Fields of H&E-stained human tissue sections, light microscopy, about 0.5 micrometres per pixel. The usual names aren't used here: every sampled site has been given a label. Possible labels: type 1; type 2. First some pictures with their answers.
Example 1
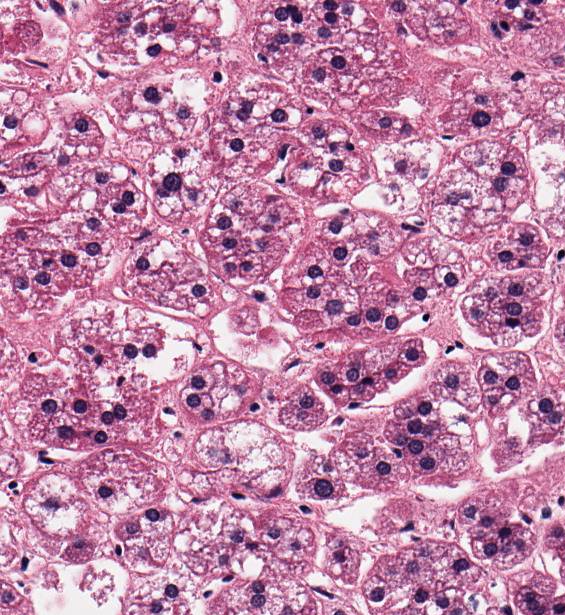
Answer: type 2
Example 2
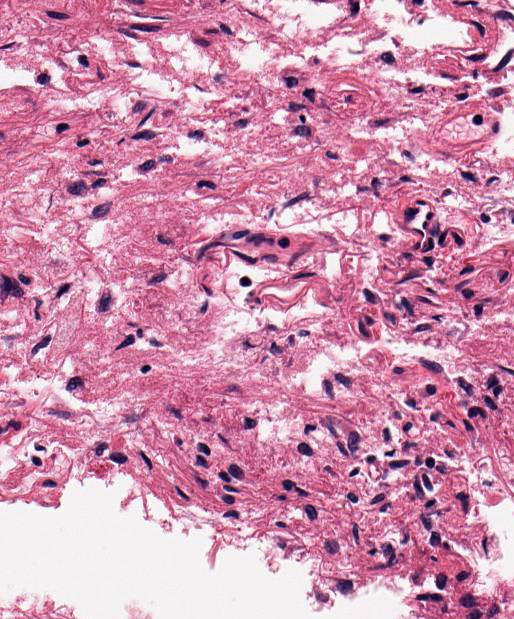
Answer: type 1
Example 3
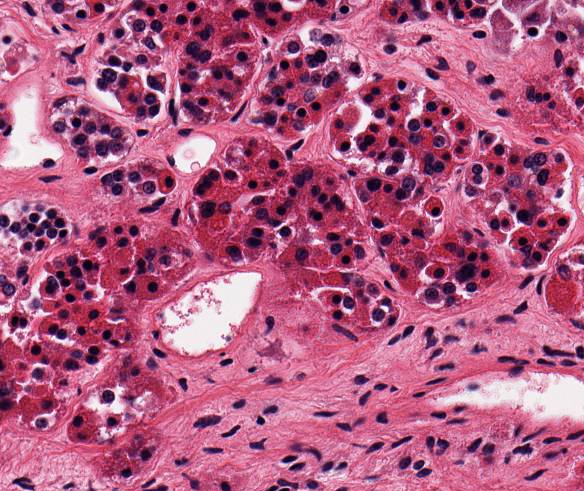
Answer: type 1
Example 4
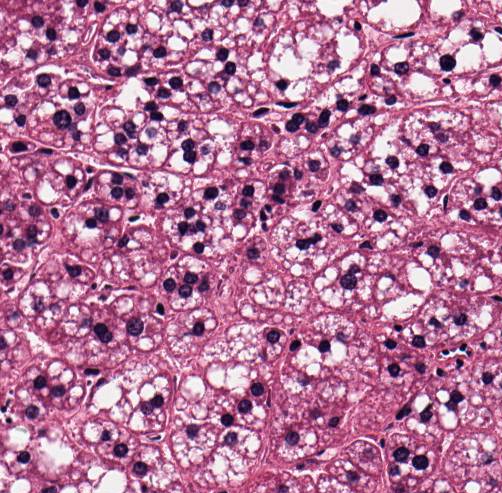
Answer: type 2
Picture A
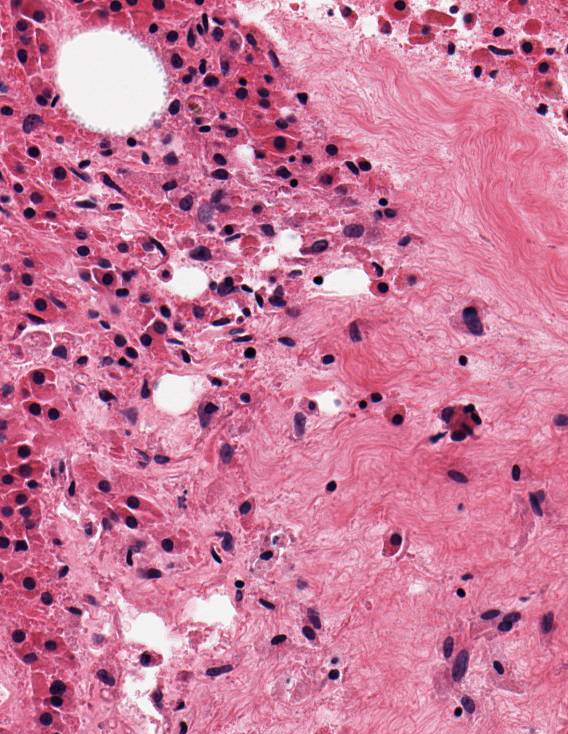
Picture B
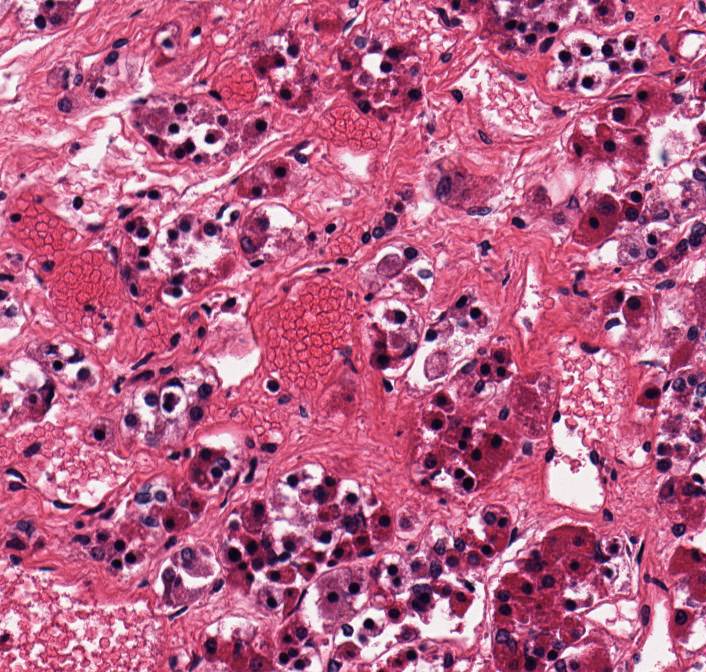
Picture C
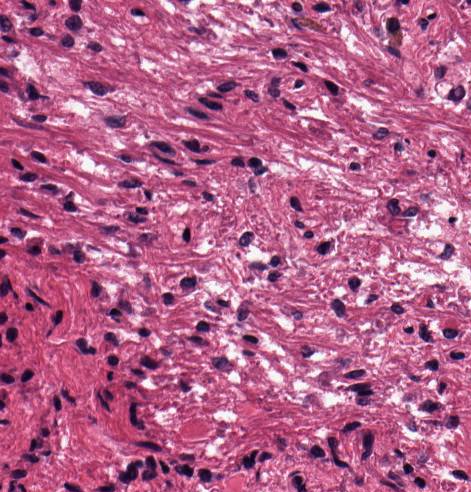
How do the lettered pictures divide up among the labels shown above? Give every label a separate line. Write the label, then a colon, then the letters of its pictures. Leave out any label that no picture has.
type 1: B, C
type 2: A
